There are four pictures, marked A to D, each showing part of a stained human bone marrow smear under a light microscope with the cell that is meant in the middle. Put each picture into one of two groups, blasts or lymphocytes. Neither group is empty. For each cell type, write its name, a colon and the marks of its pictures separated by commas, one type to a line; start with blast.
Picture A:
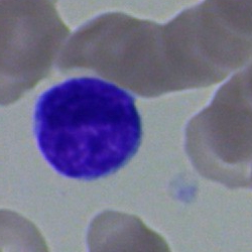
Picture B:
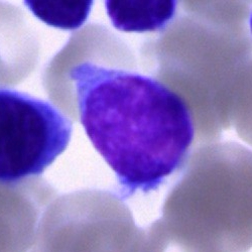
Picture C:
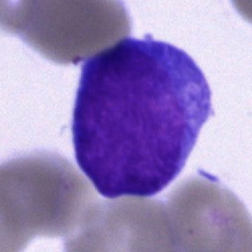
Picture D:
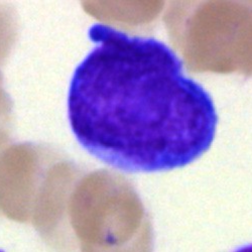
blast: C, D
lymphocyte: A, B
